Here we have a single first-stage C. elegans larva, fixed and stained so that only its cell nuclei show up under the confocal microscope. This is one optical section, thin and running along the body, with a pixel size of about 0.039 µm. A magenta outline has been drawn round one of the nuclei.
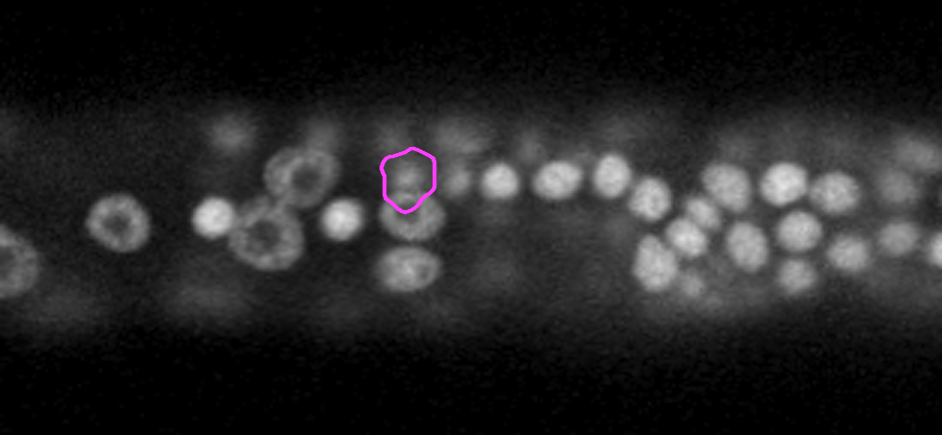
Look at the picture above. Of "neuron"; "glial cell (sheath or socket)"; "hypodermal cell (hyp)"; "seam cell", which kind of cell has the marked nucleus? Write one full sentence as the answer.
It is the nucleus of a neuron.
